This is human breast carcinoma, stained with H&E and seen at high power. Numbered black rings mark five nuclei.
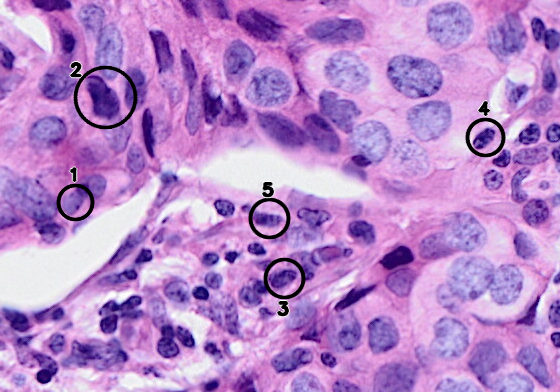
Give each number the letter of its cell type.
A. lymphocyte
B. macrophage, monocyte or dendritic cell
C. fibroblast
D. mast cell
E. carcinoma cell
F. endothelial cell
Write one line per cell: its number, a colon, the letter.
1: E
2: E
3: A
4: A
5: A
